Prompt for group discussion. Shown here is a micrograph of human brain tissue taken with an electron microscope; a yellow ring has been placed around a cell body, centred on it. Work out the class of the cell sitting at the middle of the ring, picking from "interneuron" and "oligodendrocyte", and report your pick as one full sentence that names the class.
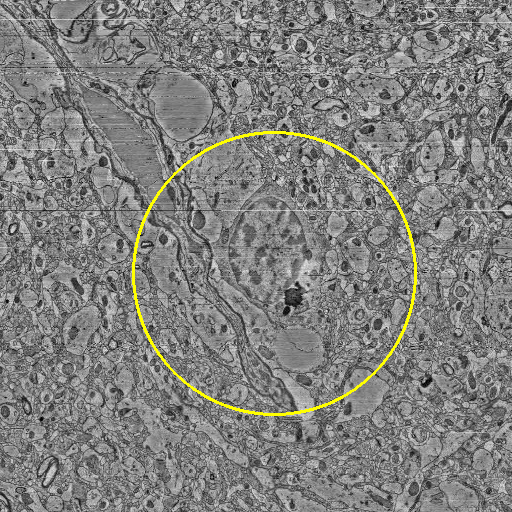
The cell sitting at the middle of the yellow ring is an oligodendrocyte.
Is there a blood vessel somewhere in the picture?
Yes.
